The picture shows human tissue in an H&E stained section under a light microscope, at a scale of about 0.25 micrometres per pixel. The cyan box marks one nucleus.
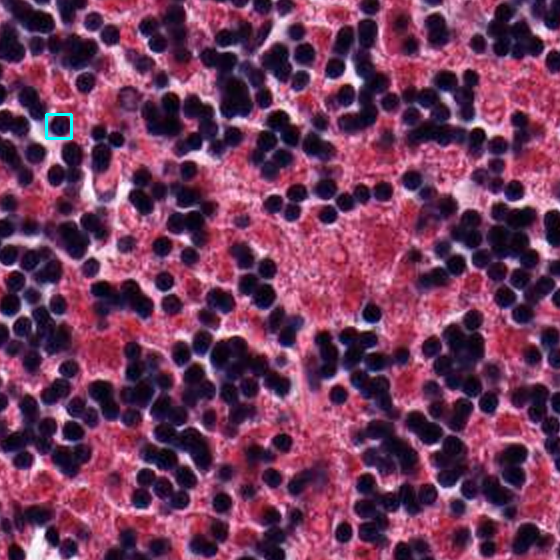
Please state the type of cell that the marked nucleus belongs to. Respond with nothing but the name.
cerebellar granule cell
